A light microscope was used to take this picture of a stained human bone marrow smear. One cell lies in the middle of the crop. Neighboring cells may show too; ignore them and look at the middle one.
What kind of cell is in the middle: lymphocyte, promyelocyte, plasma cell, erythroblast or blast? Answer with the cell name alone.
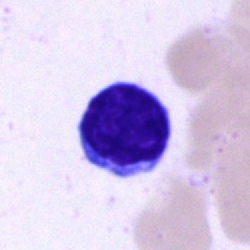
lymphocyte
